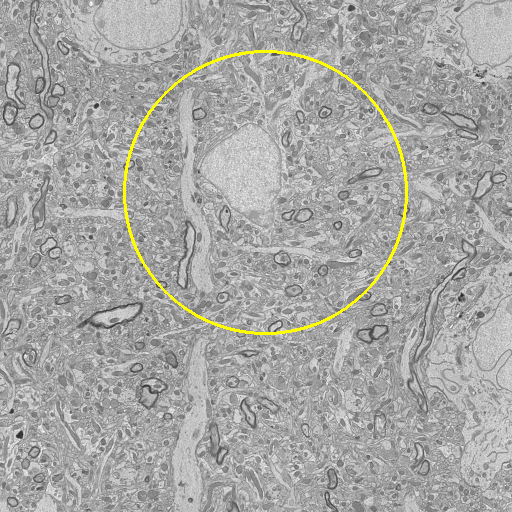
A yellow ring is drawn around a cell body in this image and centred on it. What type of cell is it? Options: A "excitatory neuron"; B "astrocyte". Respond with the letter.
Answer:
B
